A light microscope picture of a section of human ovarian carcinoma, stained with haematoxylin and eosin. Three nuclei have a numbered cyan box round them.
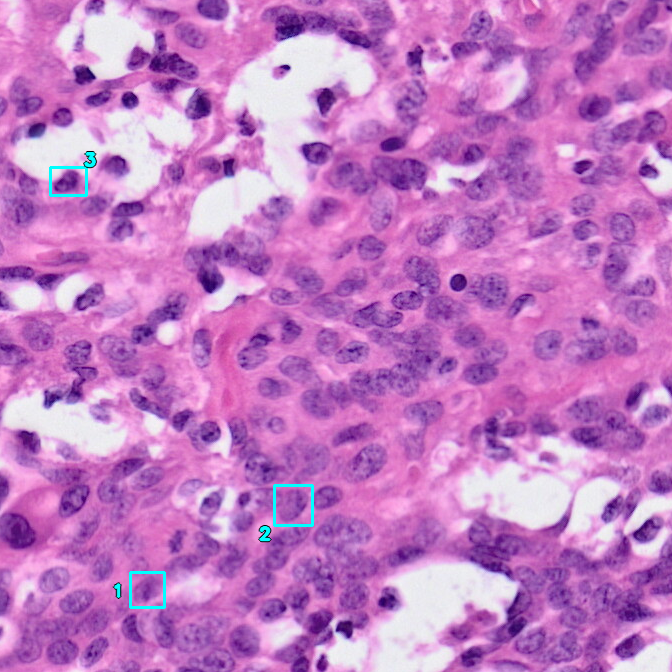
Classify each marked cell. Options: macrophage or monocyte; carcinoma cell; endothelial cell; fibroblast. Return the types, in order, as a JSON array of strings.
["carcinoma cell", "carcinoma cell", "macrophage or monocyte"]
